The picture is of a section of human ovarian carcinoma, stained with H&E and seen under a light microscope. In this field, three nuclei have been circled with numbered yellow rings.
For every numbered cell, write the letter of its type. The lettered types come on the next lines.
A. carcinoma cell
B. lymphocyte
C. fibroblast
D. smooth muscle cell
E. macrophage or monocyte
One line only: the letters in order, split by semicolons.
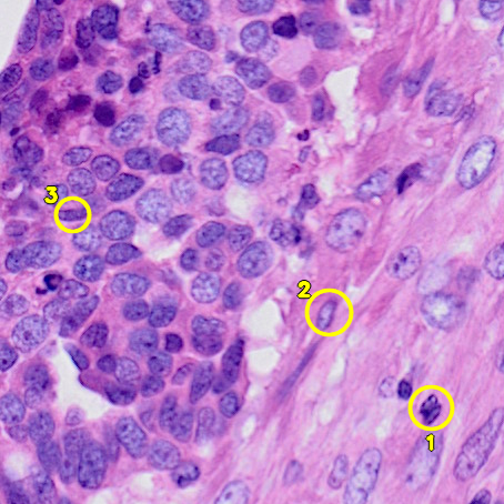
B; C; A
